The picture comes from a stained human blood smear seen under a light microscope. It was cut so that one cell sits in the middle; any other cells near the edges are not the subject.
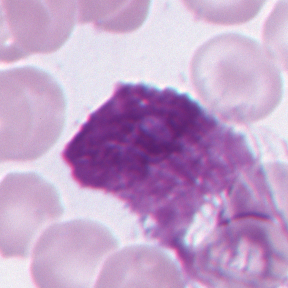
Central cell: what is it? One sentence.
The central element of this crop is a cell, namely a smudge cell.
